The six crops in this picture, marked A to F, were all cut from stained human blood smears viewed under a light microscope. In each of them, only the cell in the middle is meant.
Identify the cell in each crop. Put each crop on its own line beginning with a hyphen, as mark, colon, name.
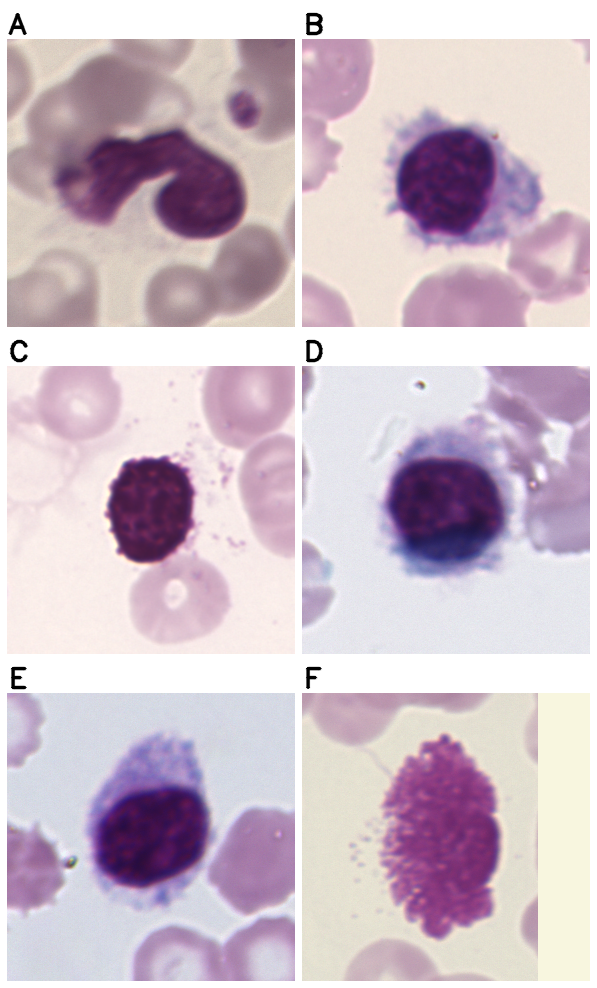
- A: smudge cell
- B: hairy cell
- C: smudge cell
- D: hairy cell
- E: hairy cell
- F: smudge cell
